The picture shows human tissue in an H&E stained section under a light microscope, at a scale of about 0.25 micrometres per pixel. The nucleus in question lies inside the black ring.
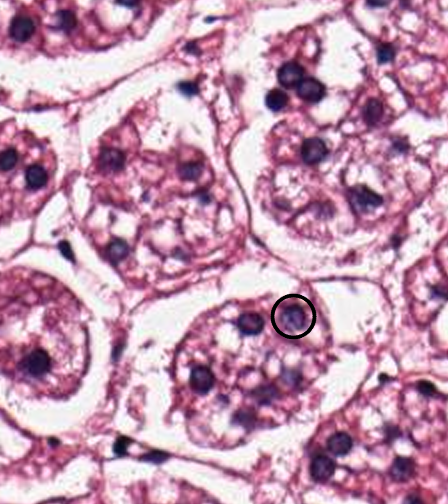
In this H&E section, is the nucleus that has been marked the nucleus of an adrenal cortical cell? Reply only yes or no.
yes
